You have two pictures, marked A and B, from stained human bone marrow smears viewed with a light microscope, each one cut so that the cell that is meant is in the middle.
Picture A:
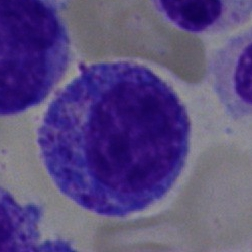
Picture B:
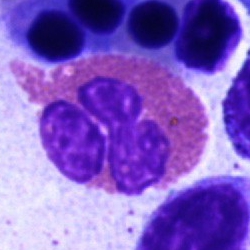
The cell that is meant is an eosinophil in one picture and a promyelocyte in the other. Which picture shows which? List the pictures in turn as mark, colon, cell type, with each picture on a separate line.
A: promyelocyte
B: eosinophil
